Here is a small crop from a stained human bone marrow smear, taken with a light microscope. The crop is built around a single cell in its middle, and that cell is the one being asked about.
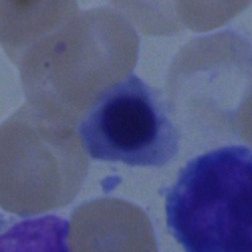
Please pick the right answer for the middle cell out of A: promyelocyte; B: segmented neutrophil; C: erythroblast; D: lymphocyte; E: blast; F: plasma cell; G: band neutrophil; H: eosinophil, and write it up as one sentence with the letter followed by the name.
Correctly, option C names the cell in the middle an erythroblast.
